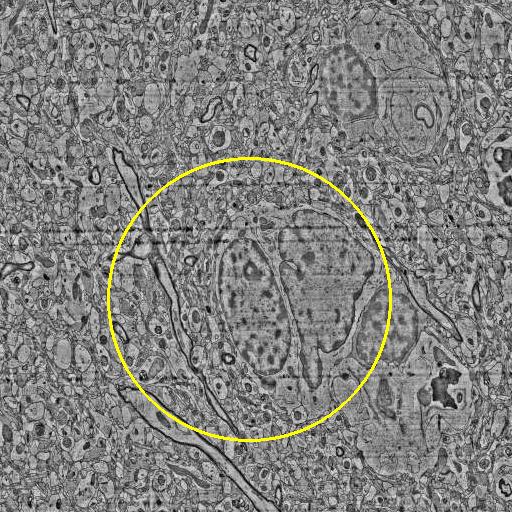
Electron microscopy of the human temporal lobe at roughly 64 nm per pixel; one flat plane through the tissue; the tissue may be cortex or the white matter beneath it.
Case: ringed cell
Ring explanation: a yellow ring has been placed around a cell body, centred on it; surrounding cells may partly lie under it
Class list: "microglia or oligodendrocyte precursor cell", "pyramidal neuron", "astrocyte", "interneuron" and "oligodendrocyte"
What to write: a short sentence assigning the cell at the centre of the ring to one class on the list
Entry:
The cell at the ring's centre is an astrocyte.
